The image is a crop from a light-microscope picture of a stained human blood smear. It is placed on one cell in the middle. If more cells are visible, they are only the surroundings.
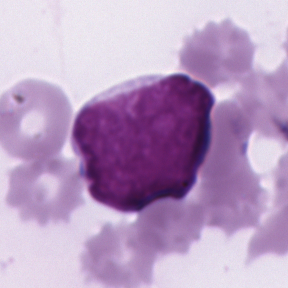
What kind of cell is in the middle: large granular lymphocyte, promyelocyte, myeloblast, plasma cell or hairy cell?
myeloblast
